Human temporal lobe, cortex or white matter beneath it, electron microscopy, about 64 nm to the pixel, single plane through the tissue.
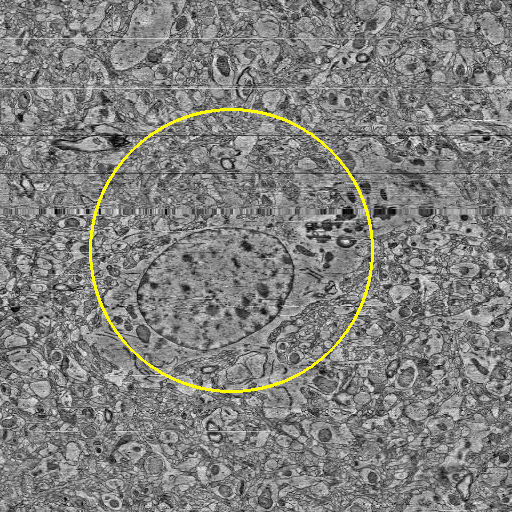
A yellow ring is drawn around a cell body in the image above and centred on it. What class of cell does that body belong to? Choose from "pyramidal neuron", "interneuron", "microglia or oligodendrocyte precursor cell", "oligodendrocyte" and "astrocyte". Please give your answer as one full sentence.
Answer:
The yellow ring above is centred on the cell body of an astrocyte.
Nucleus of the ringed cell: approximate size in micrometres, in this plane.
The nucleus measures about 10 by 8 micrometres in this plane.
